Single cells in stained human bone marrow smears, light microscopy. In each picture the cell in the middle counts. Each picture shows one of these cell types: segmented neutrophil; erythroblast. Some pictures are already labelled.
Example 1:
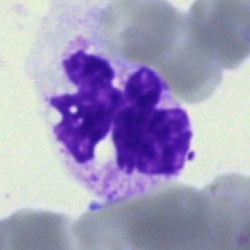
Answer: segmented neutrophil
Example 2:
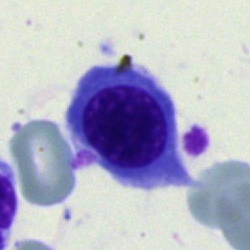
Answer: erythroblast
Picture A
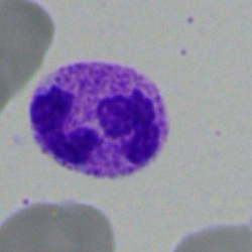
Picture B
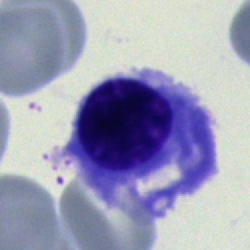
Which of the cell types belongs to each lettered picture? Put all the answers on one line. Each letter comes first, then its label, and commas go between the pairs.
A segmented neutrophil, B erythroblast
